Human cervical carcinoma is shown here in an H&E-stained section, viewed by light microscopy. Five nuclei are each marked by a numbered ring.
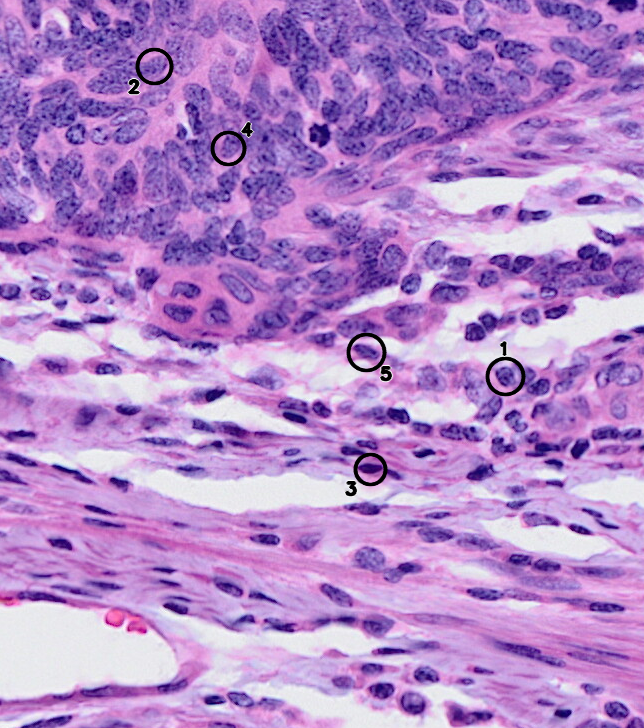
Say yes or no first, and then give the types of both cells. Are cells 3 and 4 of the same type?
No, rather, cell 3 is a lymphocyte and cell 4 is a squamous carcinoma cell.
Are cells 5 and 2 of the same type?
No, while cell 5 is a lymphocyte, cell 2 is a squamous carcinoma cell.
